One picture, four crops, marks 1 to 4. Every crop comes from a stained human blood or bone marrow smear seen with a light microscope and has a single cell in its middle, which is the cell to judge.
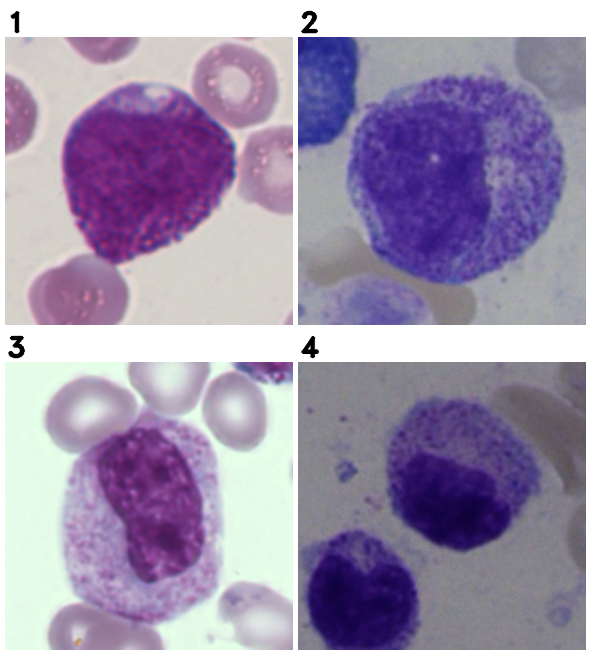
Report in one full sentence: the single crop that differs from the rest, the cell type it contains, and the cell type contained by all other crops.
Crop 1 is the one to flag: it is a promyelocyte, and the rest show myelocytes.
